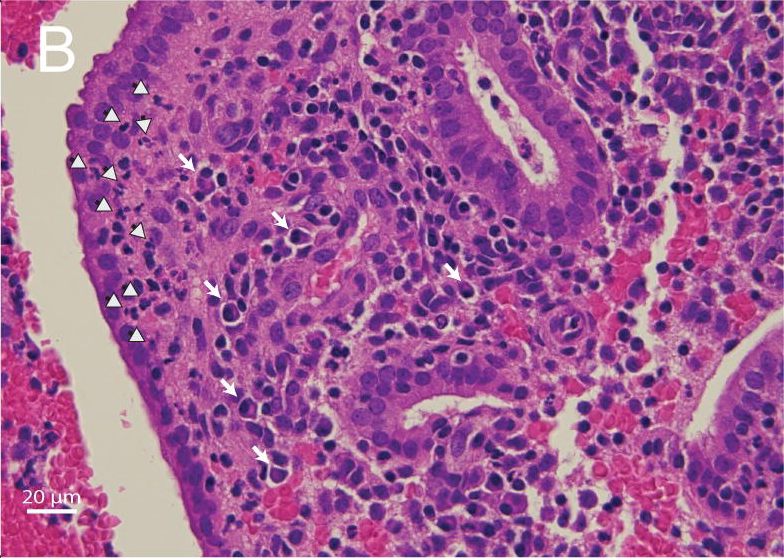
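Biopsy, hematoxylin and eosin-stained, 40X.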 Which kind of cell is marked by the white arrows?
plasma cells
